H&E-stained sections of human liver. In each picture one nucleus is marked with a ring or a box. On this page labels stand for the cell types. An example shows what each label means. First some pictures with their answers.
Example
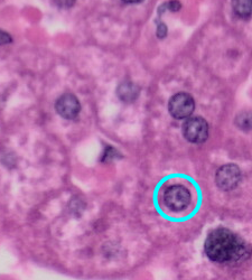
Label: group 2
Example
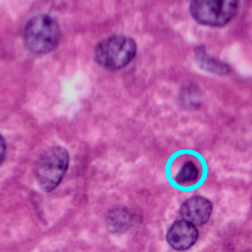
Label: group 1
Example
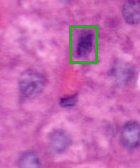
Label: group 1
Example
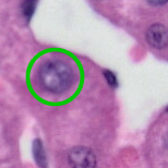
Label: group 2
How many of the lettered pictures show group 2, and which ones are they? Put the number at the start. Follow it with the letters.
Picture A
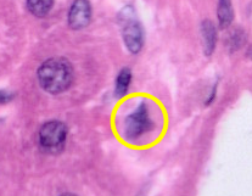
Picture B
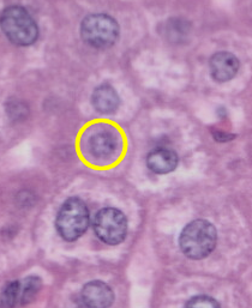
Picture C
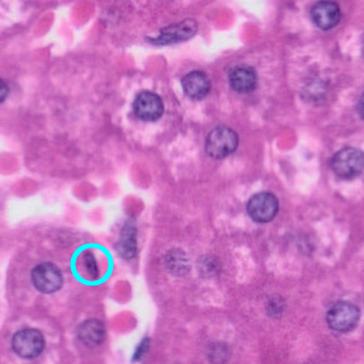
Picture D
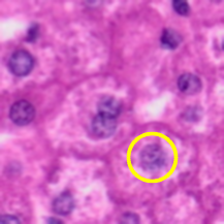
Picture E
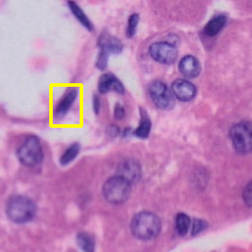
2: B, D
